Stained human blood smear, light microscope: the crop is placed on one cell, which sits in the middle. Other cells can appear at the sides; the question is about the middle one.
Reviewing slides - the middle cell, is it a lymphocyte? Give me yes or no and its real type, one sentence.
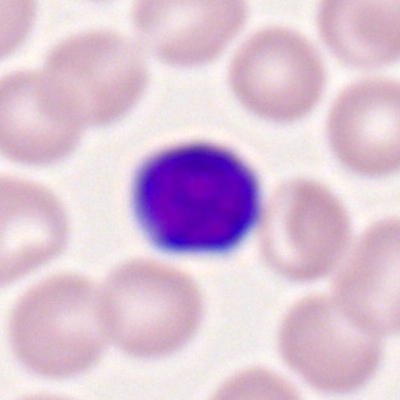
Yes, the middle cell of the field is a lymphocyte.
